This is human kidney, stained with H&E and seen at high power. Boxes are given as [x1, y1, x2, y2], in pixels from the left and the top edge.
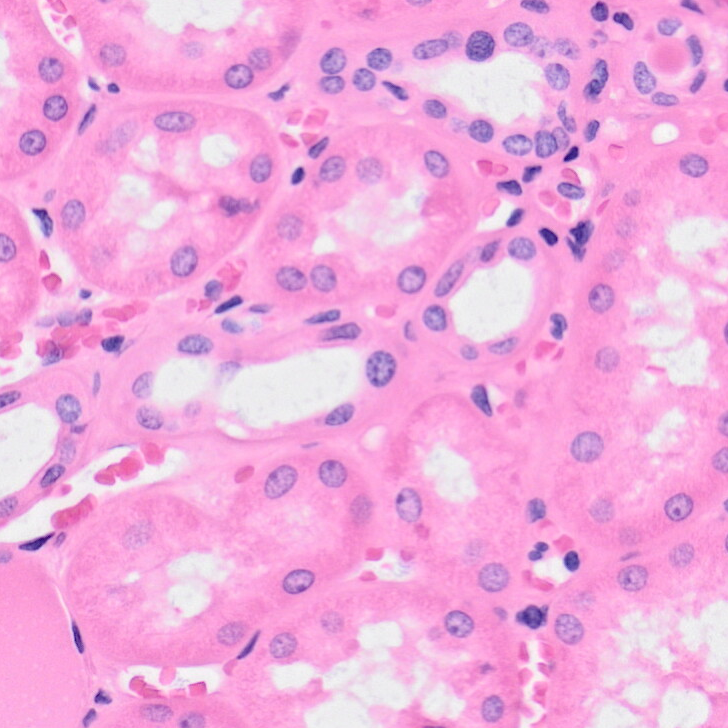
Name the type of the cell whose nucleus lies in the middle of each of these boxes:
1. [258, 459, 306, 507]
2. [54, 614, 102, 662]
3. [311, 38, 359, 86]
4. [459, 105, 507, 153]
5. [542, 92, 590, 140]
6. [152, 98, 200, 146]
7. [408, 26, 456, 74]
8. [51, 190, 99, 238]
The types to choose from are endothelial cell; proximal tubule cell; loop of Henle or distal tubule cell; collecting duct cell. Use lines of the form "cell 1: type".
cell 1: proximal tubule cell
cell 2: endothelial cell
cell 3: collecting duct cell
cell 4: collecting duct cell
cell 5: collecting duct cell
cell 6: proximal tubule cell
cell 7: collecting duct cell
cell 8: proximal tubule cell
